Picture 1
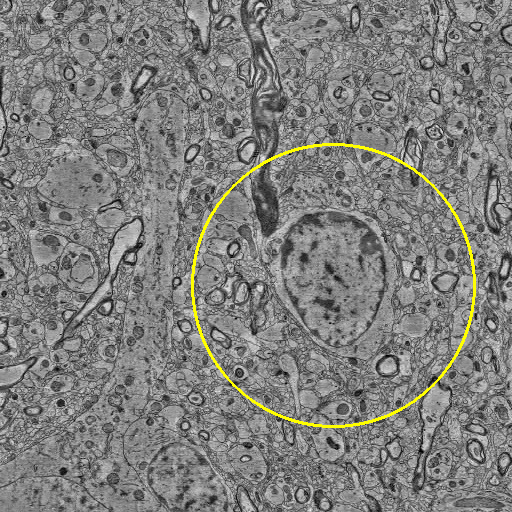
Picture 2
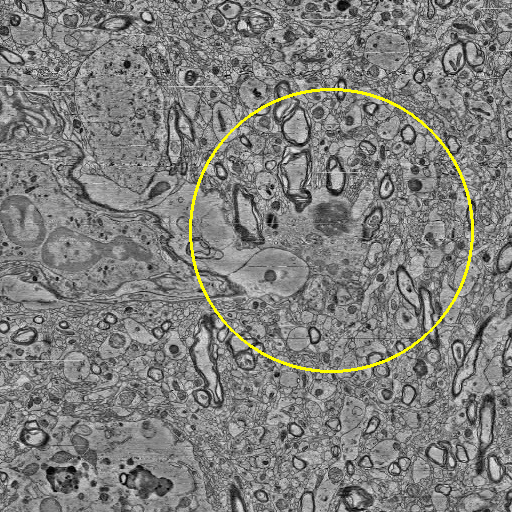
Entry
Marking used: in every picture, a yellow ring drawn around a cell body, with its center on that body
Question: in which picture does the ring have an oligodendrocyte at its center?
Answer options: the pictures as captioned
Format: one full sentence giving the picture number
Picture 2 is where the ring's center falls on the requested cell.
